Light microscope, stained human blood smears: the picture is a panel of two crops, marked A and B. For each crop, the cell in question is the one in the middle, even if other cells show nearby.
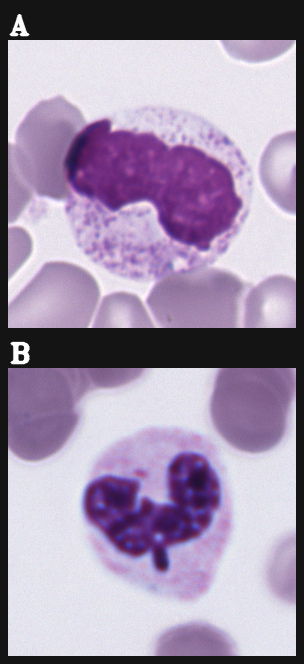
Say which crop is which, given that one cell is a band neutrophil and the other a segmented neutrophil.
A: band neutrophil
B: segmented neutrophil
